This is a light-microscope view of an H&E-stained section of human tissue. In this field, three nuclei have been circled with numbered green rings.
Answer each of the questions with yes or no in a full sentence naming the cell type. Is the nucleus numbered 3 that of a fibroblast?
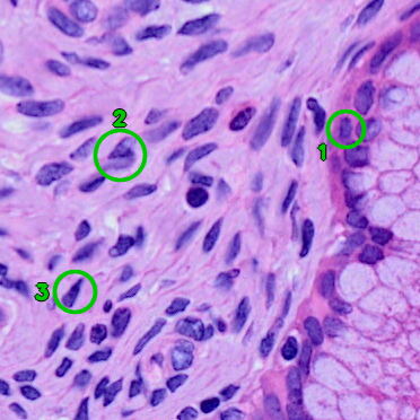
Yes, the cell marked with number 3 is a fibroblast.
